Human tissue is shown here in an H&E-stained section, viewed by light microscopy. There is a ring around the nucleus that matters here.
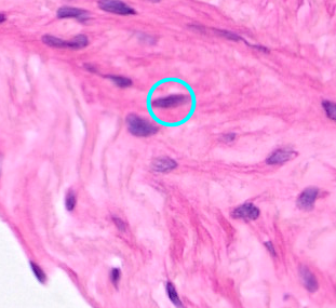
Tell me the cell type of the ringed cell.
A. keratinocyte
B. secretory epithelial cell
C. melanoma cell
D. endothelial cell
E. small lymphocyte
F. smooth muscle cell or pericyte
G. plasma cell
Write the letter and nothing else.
F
